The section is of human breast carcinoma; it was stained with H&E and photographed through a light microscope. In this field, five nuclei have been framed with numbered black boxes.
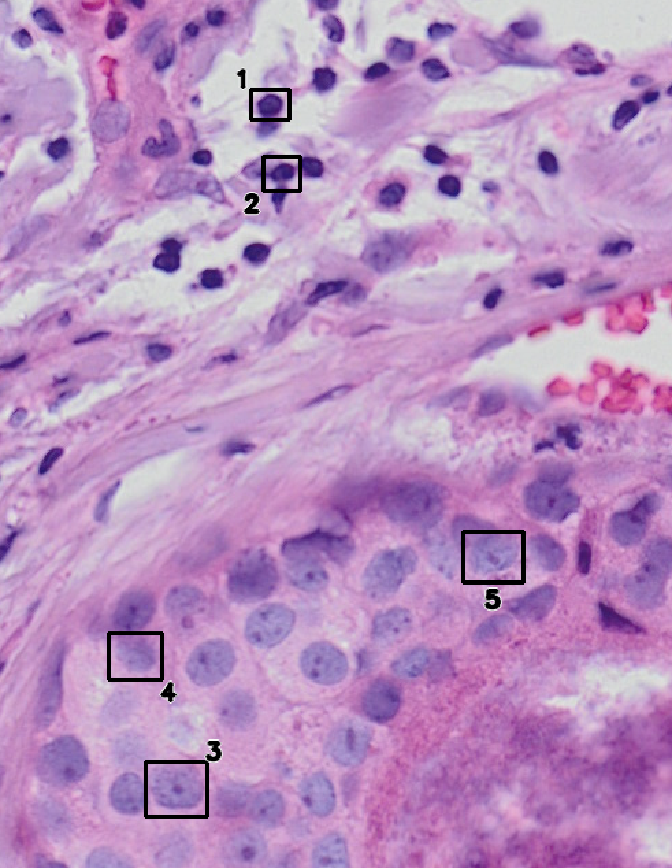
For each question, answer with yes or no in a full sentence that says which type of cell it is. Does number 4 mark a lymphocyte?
No, rather than a lymphocyte, cell number 4 is a carcinoma cell.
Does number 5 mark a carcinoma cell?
Yes, the cell given number 5 is a carcinoma cell.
